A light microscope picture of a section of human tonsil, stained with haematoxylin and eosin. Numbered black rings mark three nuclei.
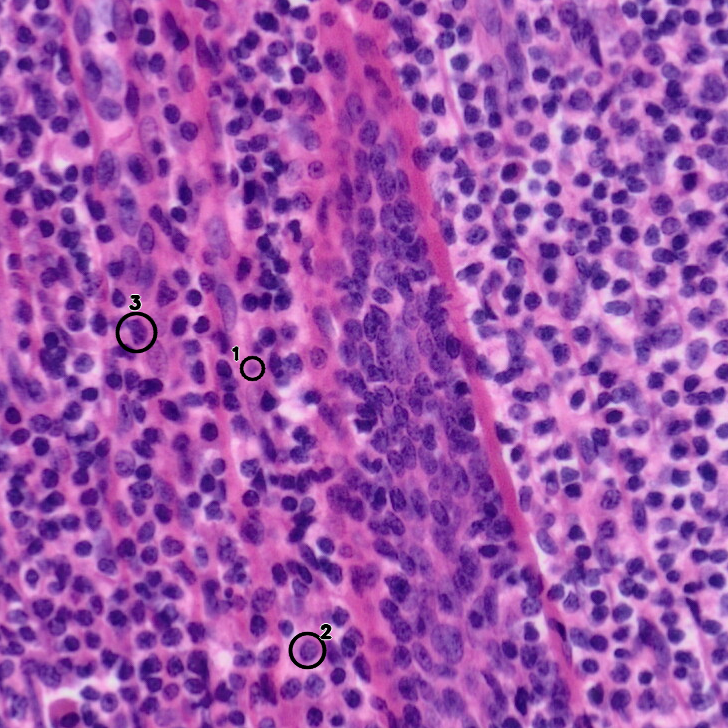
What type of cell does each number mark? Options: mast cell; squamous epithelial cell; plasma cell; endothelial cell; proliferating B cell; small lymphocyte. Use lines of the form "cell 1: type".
cell 1: endothelial cell
cell 2: plasma cell
cell 3: endothelial cell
